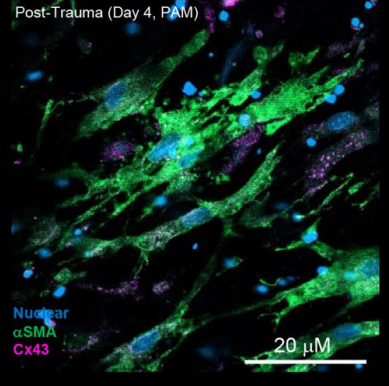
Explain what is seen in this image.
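Myofibroblasts at high magnification, elongated spindle-shaped green cells lying side by side in a roughly parallel array, each with an oval blue nucleus. Faint pink granular signal lies within the cytoplasm of some cells.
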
